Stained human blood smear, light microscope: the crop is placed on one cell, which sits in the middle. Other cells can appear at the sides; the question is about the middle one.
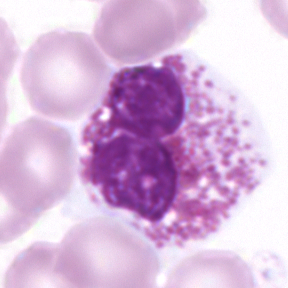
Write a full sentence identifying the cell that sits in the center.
Positioned in the middle of the crop is an eosinophil.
